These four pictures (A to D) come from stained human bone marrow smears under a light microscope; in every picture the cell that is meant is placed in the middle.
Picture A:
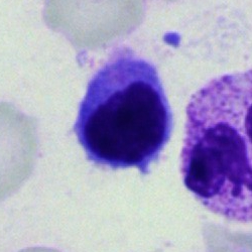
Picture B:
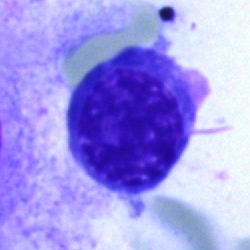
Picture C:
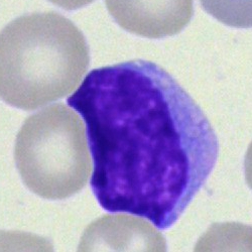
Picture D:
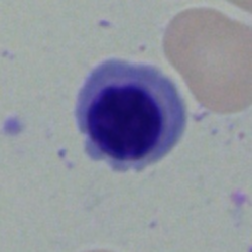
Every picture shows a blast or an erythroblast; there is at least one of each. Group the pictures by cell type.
A: erythroblast
B: erythroblast
C: blast
D: erythroblast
